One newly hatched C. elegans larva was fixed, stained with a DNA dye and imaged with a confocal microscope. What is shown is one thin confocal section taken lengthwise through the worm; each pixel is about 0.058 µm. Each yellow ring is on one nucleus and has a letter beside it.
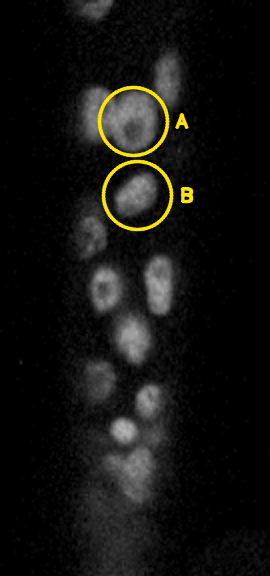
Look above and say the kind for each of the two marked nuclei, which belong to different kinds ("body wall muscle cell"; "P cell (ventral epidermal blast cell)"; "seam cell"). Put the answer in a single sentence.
The nucleus A is that of a seam cell, while B is that of a P cell (ventral epidermal blast cell).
